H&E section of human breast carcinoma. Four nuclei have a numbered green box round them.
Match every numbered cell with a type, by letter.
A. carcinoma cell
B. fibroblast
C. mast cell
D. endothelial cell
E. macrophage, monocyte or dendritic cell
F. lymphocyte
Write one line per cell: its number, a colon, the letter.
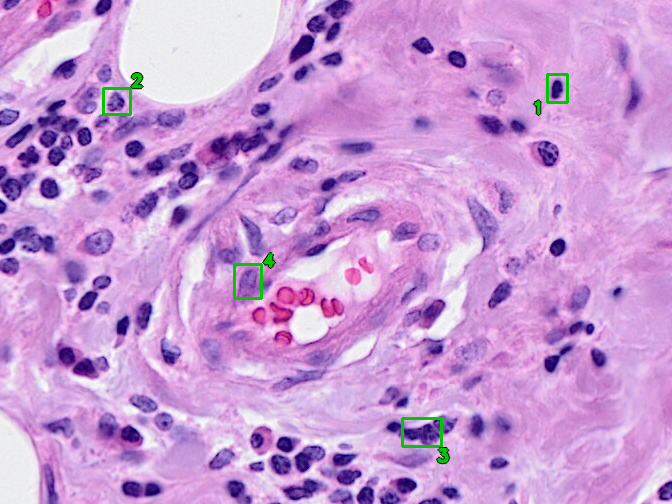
1: F
2: F
3: F
4: D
